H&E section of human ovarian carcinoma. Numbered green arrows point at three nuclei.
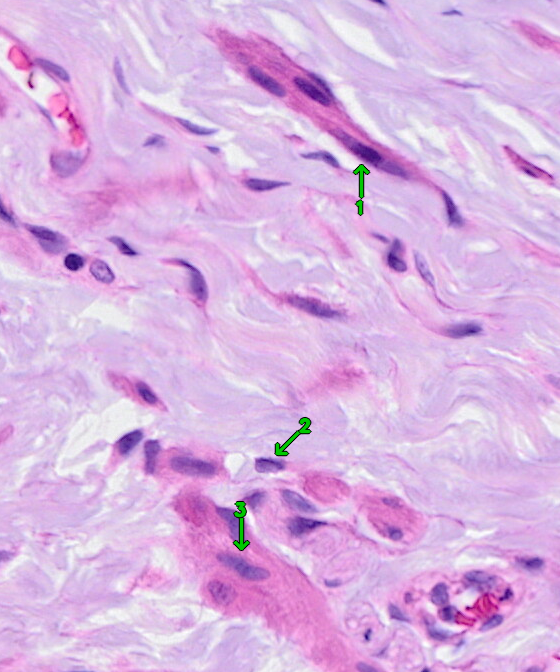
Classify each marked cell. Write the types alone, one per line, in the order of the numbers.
smooth muscle cell
fibroblast
smooth muscle cell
